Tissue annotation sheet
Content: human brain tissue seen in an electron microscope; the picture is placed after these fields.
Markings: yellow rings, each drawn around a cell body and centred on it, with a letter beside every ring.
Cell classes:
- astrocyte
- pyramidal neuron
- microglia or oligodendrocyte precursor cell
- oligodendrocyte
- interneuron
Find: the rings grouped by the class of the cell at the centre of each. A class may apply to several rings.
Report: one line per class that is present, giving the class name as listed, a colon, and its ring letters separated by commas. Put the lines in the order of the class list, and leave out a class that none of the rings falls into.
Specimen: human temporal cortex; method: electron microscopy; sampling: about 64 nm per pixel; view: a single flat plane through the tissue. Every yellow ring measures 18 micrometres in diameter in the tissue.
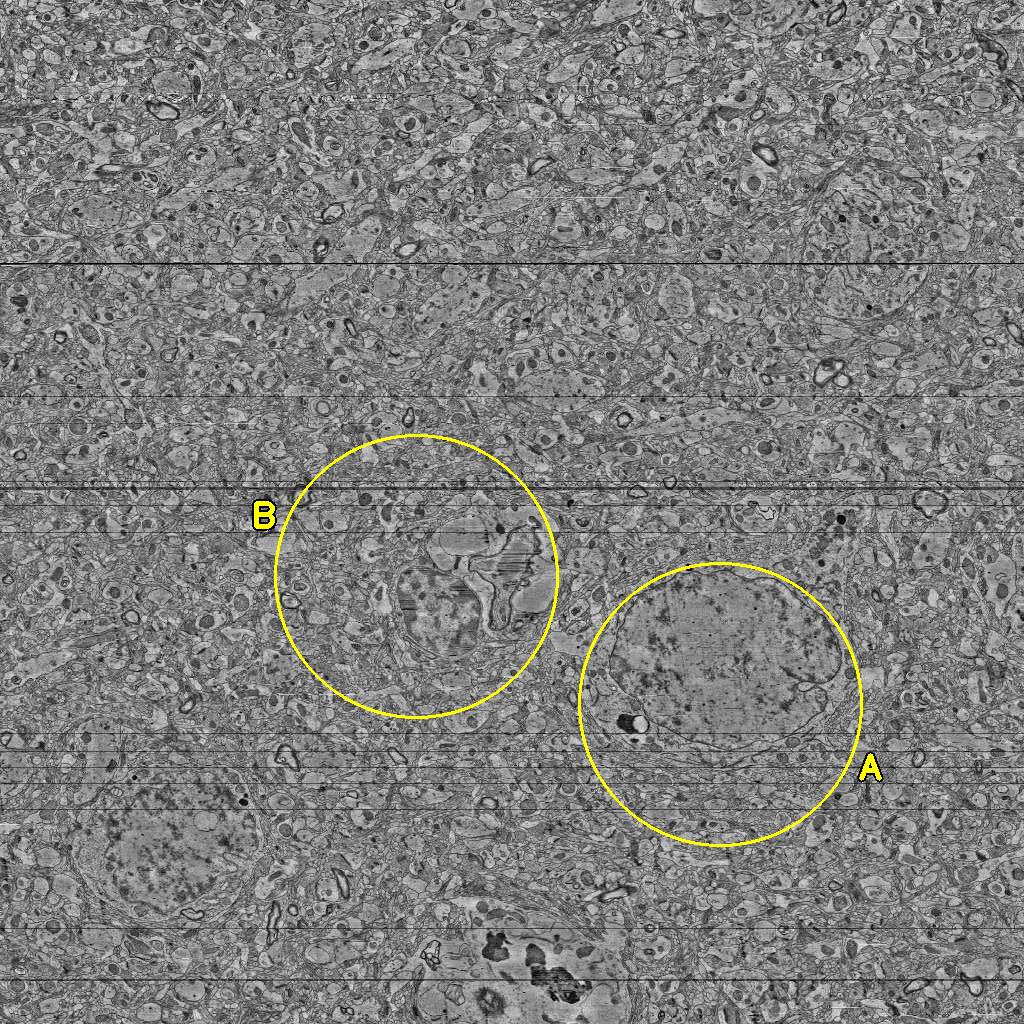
pyramidal neuron: A
oligodendrocyte: B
